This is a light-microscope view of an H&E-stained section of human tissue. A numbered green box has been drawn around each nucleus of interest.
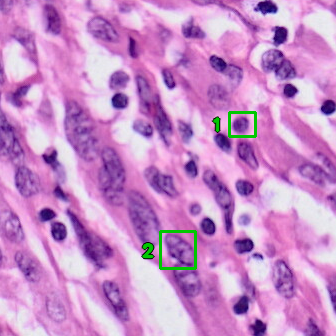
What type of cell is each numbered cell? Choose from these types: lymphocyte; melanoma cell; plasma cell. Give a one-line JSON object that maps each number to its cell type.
{"1": "lymphocyte", "2": "melanoma cell"}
